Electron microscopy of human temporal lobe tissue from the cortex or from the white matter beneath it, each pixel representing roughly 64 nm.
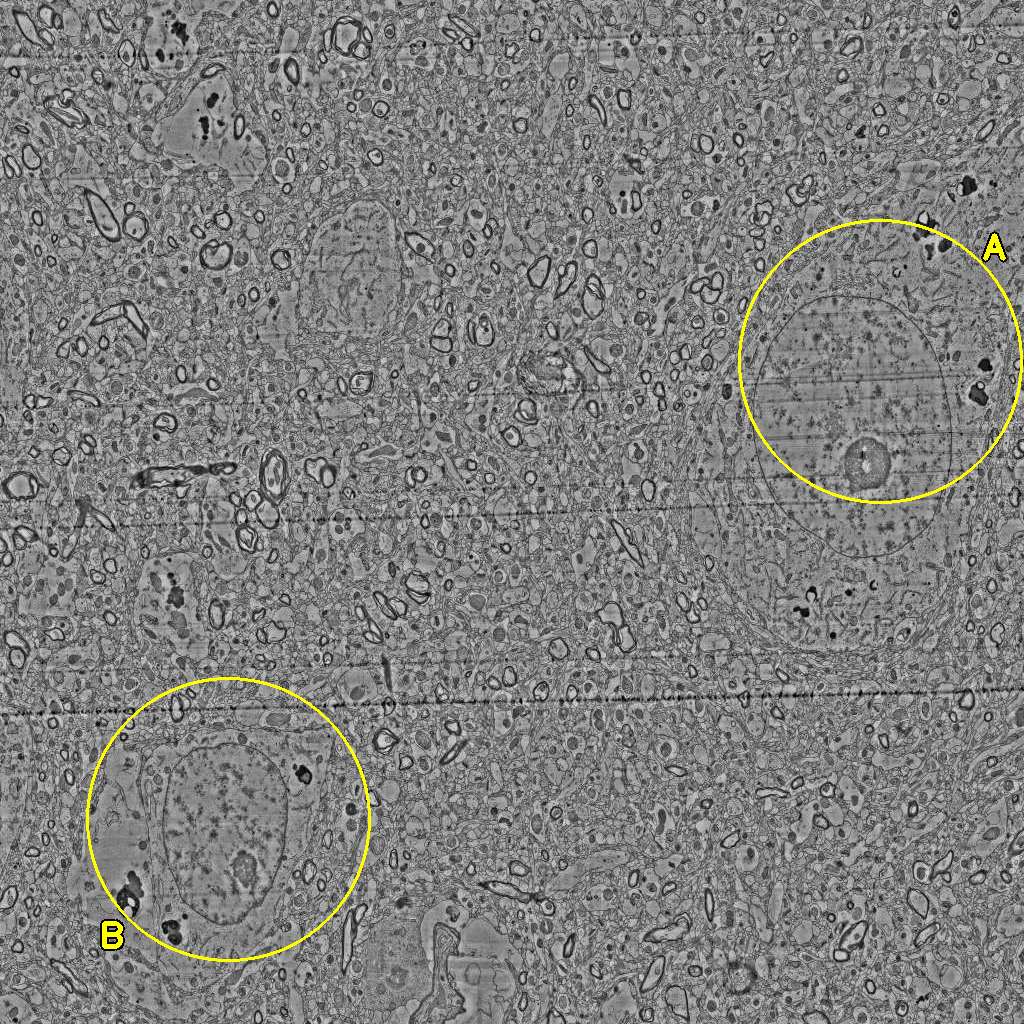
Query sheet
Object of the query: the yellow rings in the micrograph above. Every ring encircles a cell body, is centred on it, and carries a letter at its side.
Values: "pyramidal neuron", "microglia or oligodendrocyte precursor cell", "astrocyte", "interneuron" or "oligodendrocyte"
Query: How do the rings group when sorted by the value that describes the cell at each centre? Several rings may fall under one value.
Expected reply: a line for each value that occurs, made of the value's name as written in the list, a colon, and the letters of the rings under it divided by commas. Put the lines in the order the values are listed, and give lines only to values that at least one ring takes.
pyramidal neuron: A, B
